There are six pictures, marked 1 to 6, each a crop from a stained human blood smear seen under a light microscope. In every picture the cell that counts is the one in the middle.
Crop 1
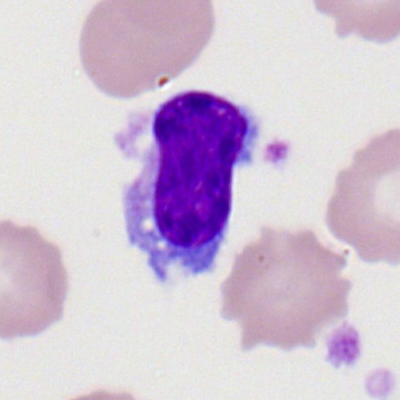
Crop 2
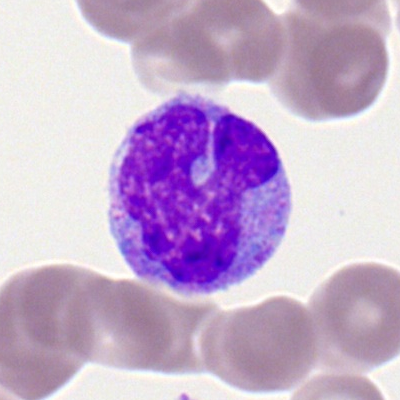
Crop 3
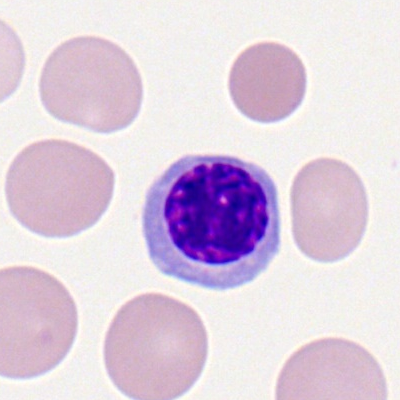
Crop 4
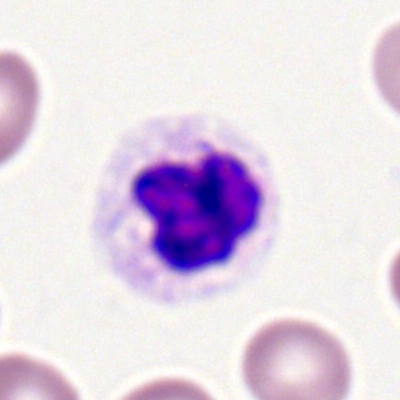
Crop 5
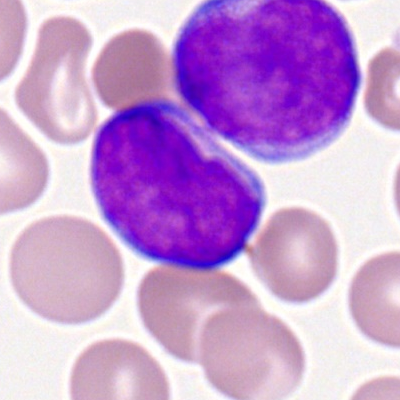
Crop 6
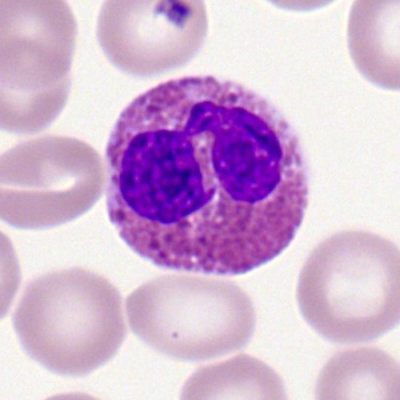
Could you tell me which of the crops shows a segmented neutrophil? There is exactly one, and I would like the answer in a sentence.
Among all the crops given here, the one with a segmented neutrophil is crop 4.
